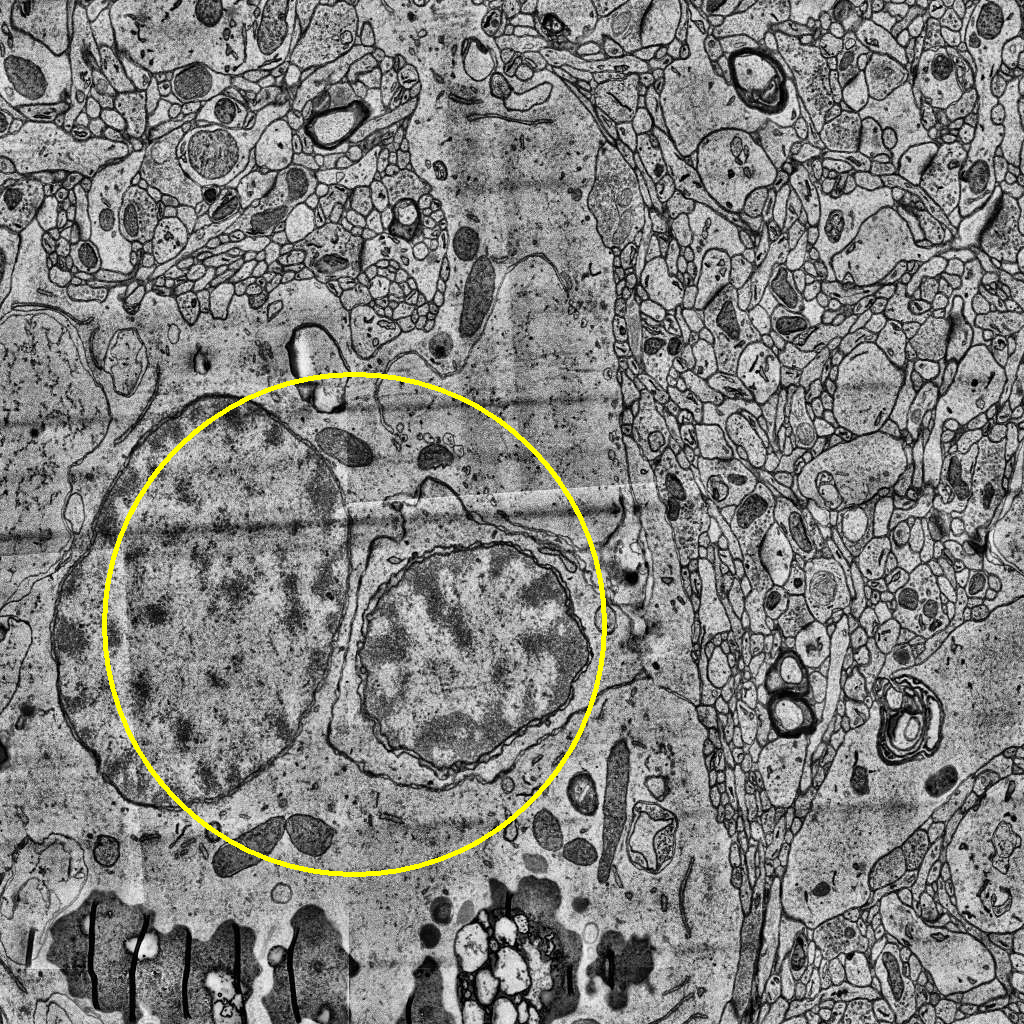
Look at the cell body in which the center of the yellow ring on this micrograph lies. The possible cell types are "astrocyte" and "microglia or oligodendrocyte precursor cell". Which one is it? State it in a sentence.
The cell at the middle of the ring is a microglial cell or oligodendrocyte precursor cell.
